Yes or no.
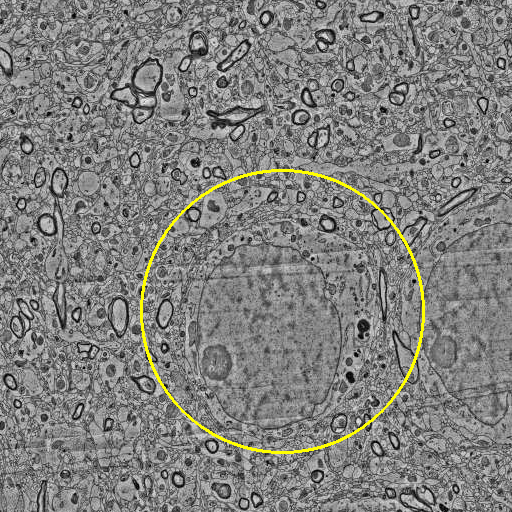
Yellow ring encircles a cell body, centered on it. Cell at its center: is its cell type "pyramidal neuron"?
yes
